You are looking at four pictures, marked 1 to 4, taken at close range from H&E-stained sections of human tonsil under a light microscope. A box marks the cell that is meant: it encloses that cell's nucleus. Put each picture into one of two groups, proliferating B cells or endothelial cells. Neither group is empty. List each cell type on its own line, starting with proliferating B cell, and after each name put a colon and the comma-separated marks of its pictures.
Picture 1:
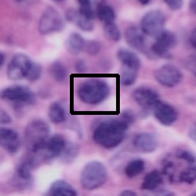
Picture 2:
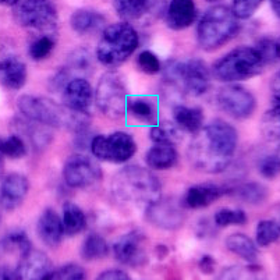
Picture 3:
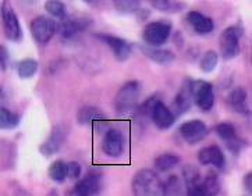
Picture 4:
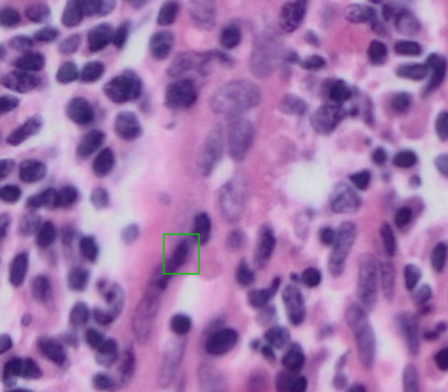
proliferating B cell: 1, 2
endothelial cell: 3, 4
